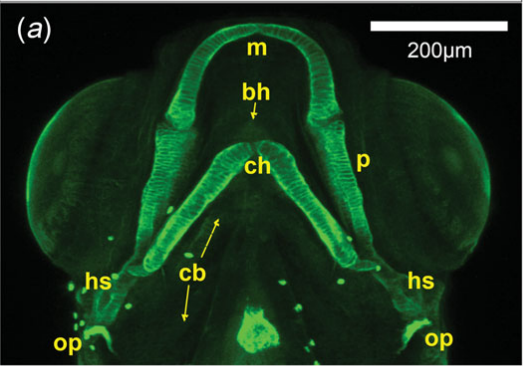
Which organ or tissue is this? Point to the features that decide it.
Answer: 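Cartilage tissues. Rod-shaped elements of the jaw and gill arches stand out in bright green. Within each rod, flattened cells are stacked in rows like a pile of coins.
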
